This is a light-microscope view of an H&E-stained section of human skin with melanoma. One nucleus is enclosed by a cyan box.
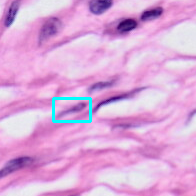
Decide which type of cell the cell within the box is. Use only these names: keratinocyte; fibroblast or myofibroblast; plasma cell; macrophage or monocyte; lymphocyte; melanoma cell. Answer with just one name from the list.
fibroblast or myofibroblast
